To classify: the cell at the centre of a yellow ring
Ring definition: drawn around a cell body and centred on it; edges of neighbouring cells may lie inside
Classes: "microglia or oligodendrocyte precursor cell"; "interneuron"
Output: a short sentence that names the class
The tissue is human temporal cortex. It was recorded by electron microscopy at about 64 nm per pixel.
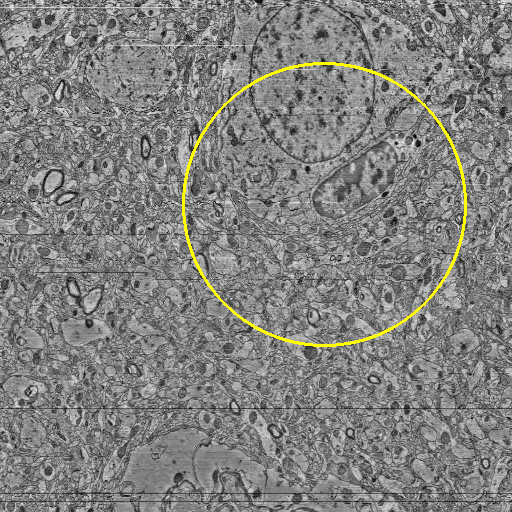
The ringed cell is a microglial cell or oligodendrocyte precursor cell.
